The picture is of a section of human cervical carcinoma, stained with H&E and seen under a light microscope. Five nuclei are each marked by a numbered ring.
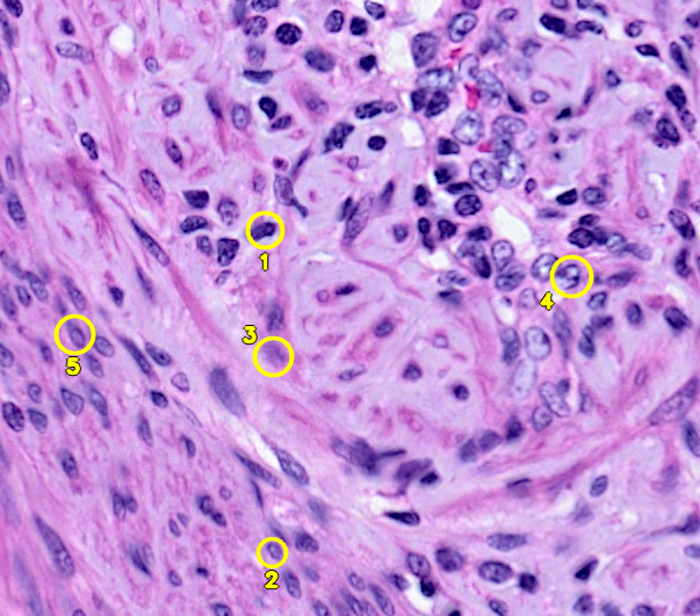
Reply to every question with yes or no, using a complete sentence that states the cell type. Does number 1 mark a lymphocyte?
Yes, the numbered cell 1 is identified as a lymphocyte.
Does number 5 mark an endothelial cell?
No, cell 5, which is a smooth muscle cell, is not an endothelial cell.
